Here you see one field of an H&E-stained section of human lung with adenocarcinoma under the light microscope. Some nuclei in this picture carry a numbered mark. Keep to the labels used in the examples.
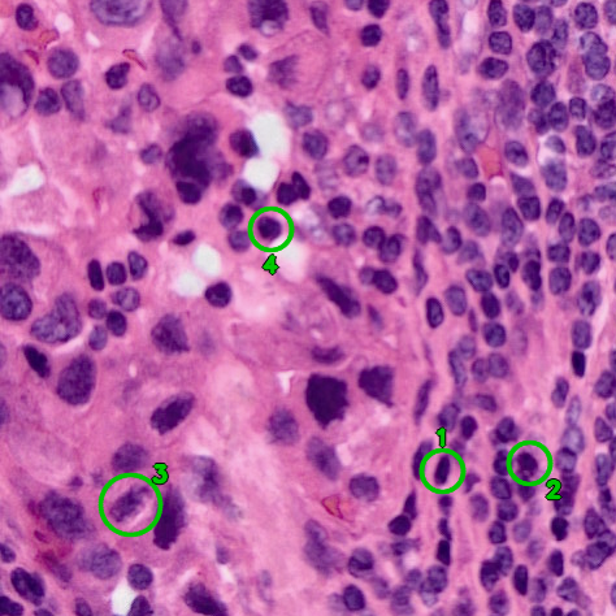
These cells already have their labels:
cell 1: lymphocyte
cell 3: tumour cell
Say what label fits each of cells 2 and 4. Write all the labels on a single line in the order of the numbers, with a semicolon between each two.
lymphocyte; lymphocyte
